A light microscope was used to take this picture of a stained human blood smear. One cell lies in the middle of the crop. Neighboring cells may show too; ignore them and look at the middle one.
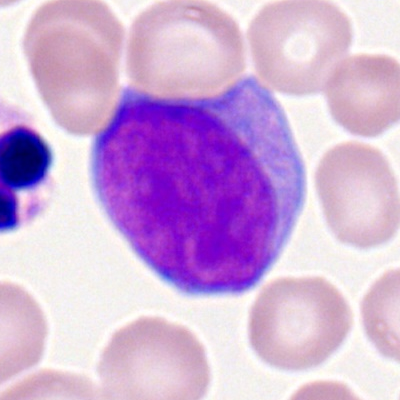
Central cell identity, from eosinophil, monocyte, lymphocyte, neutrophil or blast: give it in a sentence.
Classification of the middle cell gives a blast.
